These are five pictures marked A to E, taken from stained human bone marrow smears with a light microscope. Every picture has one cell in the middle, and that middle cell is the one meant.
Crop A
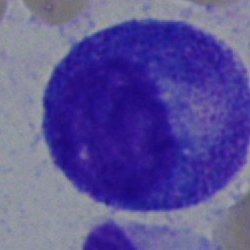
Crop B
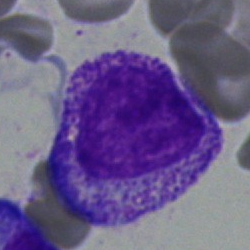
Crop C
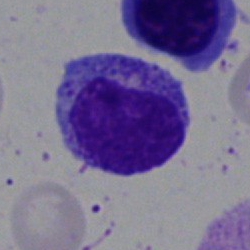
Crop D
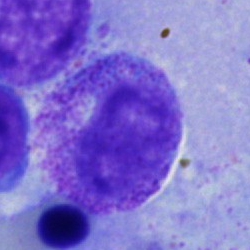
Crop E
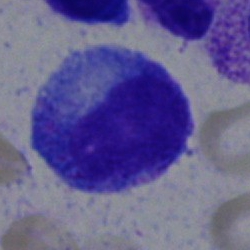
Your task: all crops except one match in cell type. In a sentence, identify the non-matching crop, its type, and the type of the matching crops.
Just crop A is a promyelocyte; all the other crops show myelocytes.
